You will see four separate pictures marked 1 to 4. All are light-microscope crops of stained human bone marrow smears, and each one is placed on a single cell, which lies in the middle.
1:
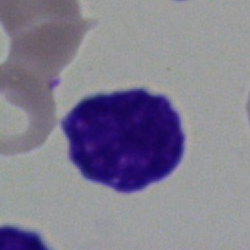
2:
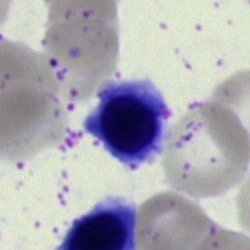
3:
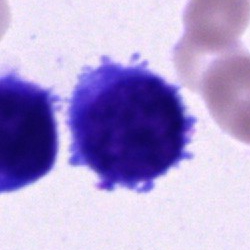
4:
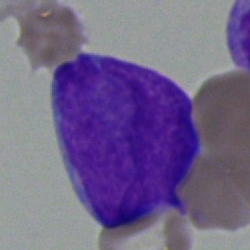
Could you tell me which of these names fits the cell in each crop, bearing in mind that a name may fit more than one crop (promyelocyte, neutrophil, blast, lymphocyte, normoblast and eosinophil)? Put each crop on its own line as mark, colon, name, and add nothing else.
1: blast
2: normoblast
3: blast
4: blast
